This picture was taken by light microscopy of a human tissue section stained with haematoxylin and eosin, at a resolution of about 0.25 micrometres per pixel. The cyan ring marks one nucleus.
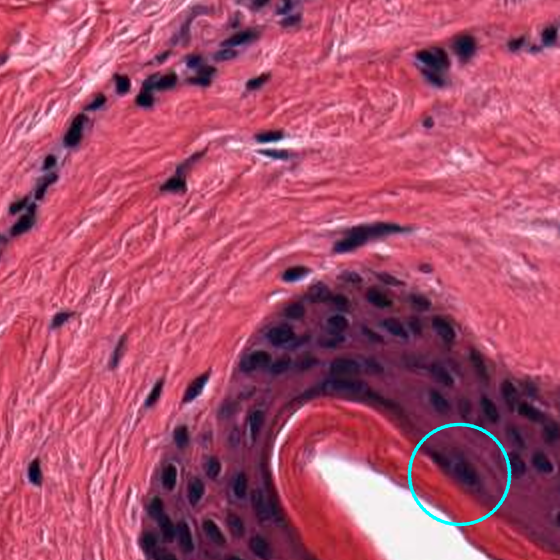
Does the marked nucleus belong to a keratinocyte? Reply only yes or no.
yes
